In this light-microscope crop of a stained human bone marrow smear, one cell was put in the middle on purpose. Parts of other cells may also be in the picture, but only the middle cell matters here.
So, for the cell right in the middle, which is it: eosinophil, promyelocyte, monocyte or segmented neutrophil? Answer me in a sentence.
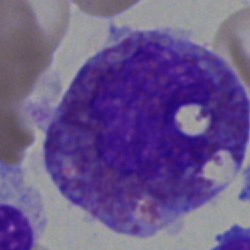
The crop shows an eosinophil in its centre.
